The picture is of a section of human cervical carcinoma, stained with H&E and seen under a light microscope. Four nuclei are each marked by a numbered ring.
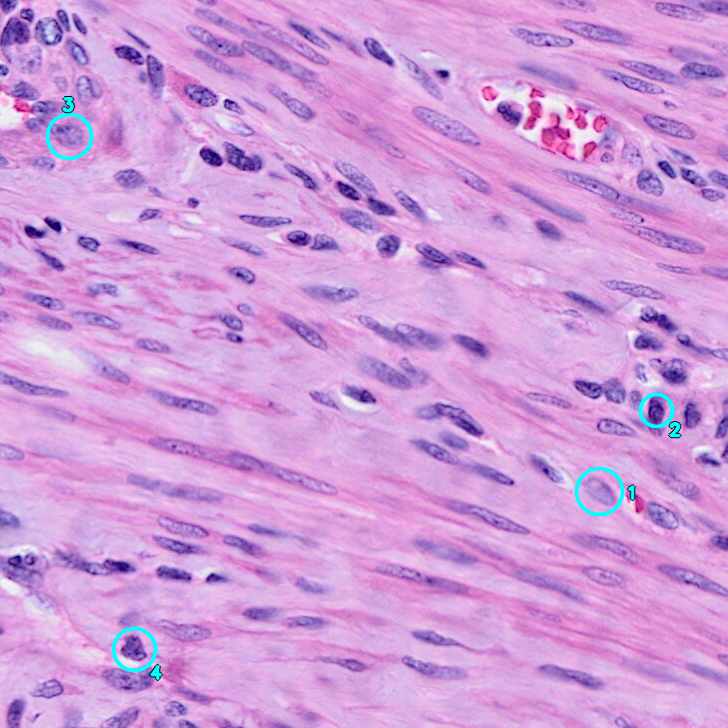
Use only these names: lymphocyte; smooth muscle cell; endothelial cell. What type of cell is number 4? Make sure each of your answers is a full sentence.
Cell 4 should be recorded as a lymphocyte.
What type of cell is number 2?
The marked cell bearing number 2 is a lymphocyte.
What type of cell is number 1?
The one numbered 1 among the marked cells is an endothelial cell.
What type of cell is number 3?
Looking at the numbered marks, cell 3 is a smooth muscle cell.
